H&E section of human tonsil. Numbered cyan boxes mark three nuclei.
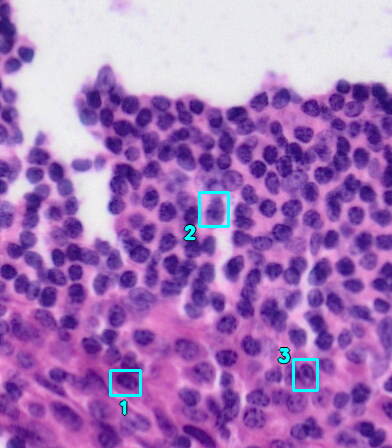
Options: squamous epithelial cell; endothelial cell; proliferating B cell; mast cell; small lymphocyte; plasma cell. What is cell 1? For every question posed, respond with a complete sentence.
Marked with the number 1, this cell is a plasma cell.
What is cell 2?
The correct label for cell 2 is a small lymphocyte.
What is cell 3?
It is as a plasma cell that the cell numbered 3 is identified.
